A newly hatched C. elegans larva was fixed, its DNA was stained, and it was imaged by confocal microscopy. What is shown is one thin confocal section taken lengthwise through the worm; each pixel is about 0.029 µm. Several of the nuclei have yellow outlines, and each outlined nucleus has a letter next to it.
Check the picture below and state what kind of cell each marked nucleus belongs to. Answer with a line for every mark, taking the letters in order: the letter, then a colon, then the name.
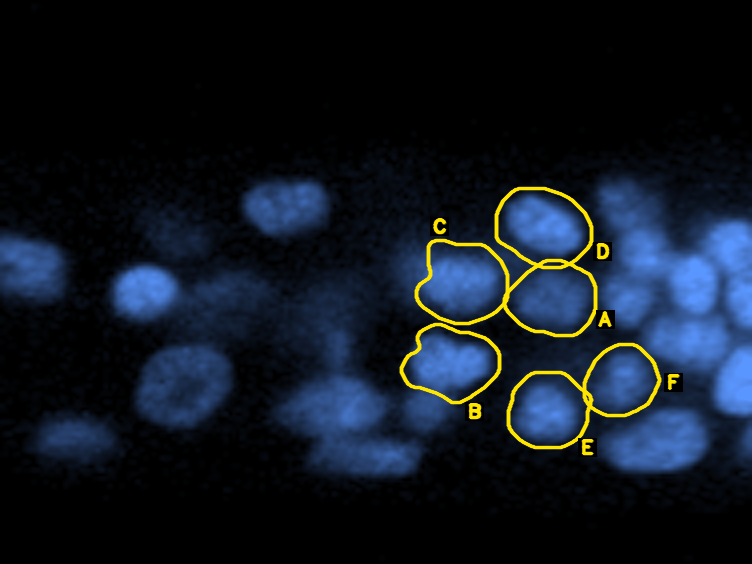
A: pharyngeal muscle cell
B: pharyngeal marginal cell
C: pharyngeal muscle cell
D: cell of the excretory system
E: neuron
F: pharyngeal gland cell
